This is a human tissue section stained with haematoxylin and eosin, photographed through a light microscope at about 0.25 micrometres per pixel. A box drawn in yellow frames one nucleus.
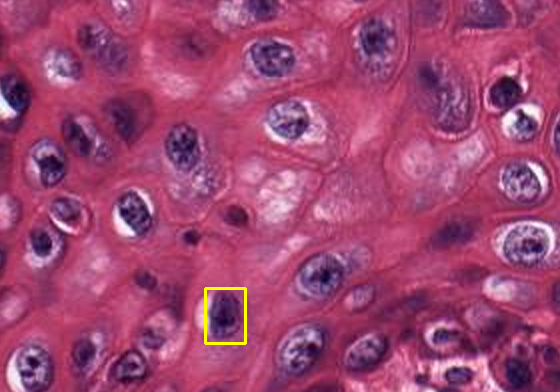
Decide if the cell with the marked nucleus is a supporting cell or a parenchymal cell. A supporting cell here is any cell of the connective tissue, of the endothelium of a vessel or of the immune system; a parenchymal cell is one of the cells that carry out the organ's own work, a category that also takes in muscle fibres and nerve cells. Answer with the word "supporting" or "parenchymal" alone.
parenchymal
